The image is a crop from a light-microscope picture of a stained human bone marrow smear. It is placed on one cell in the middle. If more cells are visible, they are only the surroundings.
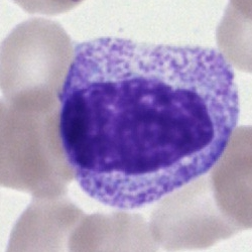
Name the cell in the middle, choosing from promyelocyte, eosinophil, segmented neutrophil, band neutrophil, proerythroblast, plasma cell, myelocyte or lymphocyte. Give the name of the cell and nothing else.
myelocyte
